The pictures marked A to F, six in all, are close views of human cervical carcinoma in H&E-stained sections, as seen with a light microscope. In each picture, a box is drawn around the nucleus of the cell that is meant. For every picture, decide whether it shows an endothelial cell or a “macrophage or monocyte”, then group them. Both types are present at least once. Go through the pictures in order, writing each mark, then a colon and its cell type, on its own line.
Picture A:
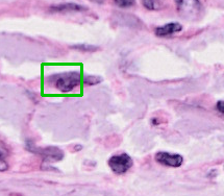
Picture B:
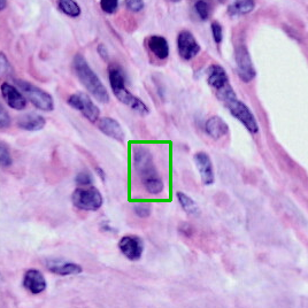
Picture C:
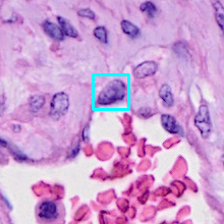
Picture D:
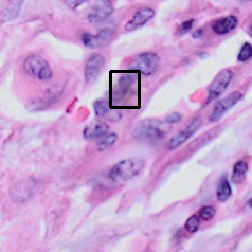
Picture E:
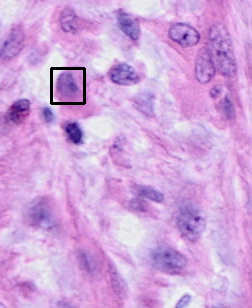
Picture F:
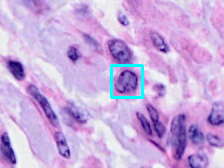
A: macrophage or monocyte
B: macrophage or monocyte
C: endothelial cell
D: endothelial cell
E: macrophage or monocyte
F: macrophage or monocyte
